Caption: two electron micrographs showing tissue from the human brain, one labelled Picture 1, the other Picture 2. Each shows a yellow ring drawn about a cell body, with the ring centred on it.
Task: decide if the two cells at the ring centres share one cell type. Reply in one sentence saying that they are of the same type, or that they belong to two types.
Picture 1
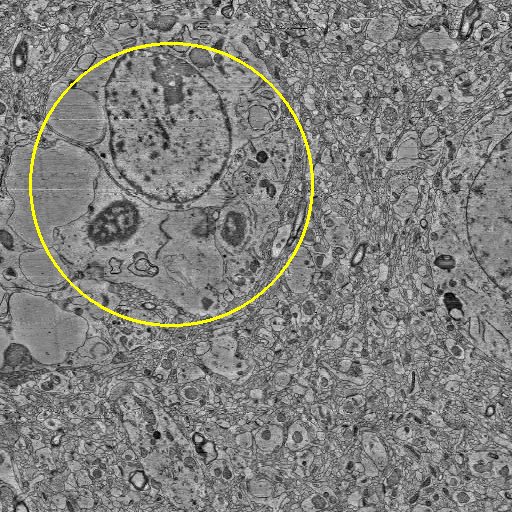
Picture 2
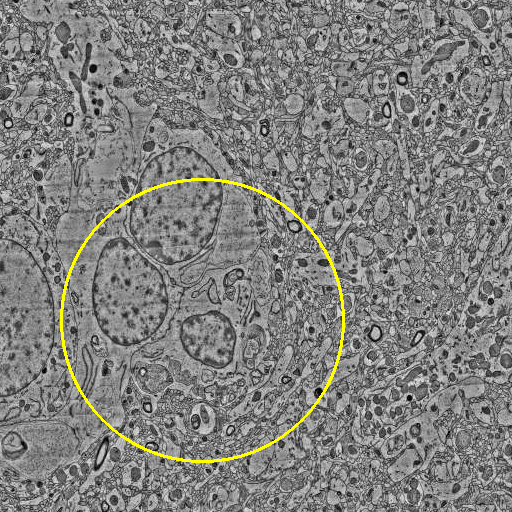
The cells at the ring centres in Picture 1 and Picture 2 are of the same type.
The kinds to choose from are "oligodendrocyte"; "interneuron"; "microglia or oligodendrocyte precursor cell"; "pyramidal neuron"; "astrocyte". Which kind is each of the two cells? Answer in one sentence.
Each of the ringed cells, first and second, is an astrocyte.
